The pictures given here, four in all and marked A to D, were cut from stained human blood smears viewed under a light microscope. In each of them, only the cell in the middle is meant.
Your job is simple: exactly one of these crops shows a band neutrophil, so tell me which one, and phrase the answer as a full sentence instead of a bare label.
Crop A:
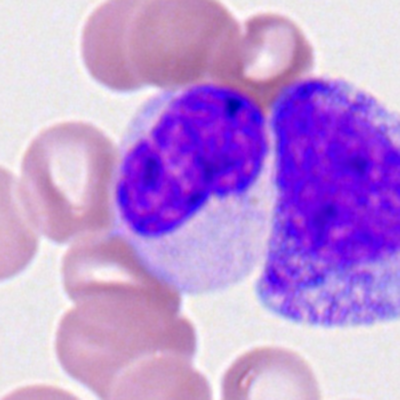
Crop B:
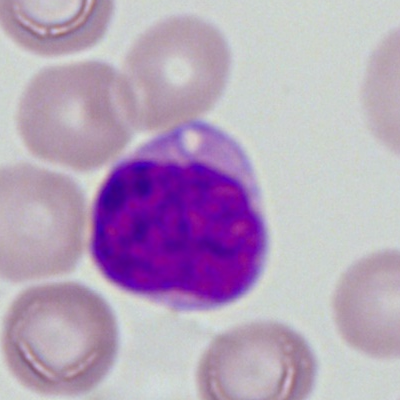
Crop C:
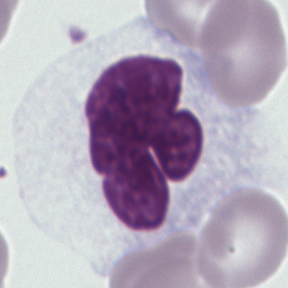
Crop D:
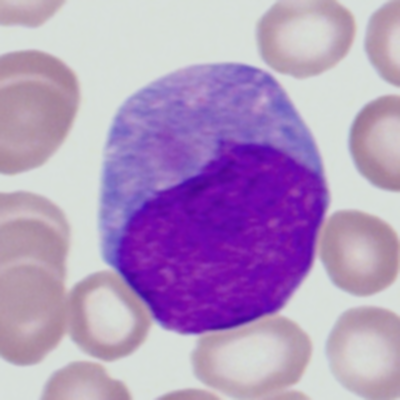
The requested cell, a band neutrophil, is the one in crop A.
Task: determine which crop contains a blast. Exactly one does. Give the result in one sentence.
The cell at the center of crop D is the one that is a blast.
